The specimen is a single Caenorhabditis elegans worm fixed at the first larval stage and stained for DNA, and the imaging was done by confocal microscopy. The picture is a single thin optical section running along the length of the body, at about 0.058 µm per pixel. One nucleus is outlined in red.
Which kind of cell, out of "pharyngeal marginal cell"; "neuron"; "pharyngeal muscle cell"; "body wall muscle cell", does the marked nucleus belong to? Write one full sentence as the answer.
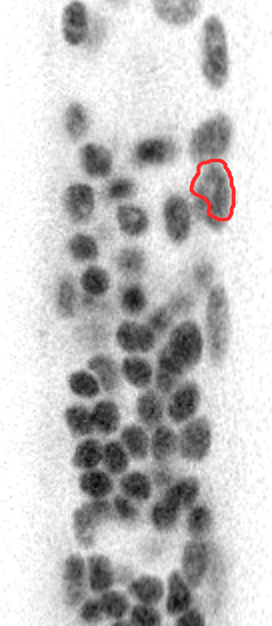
It is the nucleus of a body wall muscle cell.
